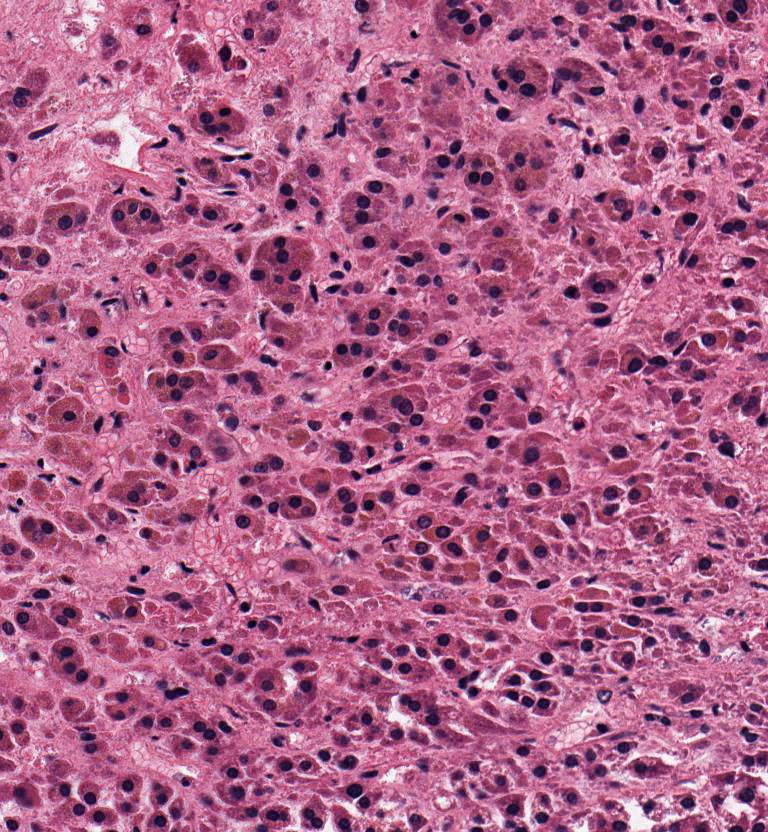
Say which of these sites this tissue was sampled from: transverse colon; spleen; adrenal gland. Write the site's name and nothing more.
adrenal gland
